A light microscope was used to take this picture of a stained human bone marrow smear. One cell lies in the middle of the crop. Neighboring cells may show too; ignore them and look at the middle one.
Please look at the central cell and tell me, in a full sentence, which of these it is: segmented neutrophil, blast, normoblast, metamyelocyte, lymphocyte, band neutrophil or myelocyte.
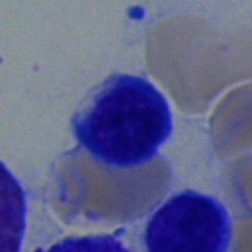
This particular crop is centered on a lymphocyte.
